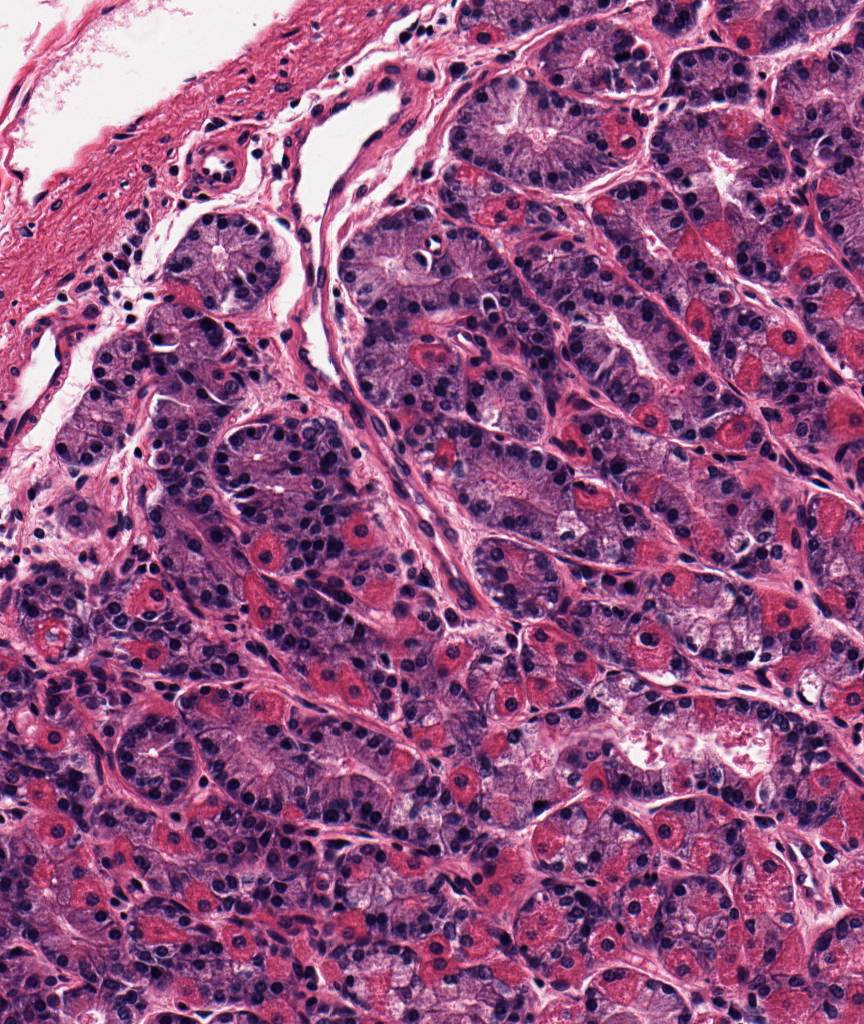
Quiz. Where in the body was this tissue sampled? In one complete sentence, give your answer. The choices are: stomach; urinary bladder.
For this section, tissue was sampled from the stomach.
